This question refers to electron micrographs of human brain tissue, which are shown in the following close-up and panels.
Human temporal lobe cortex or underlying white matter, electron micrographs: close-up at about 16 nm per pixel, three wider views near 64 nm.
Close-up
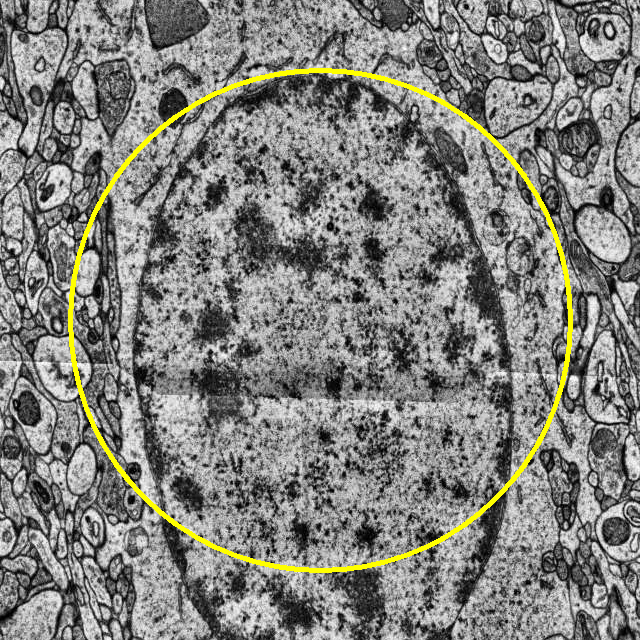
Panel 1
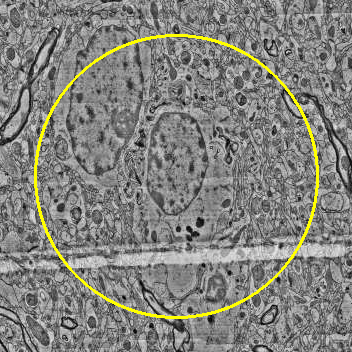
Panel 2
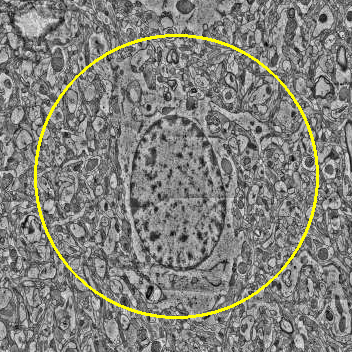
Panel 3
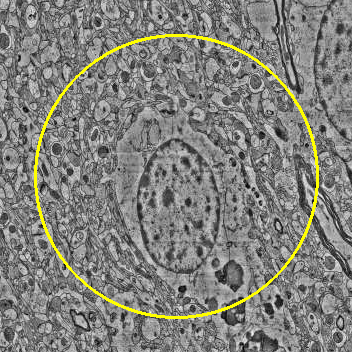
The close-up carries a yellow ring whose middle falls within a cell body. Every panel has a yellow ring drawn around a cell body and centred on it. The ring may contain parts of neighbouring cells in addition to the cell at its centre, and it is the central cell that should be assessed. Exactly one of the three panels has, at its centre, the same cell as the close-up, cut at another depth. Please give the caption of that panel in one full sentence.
The cell examined up close is the one ringed in Panel 2.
